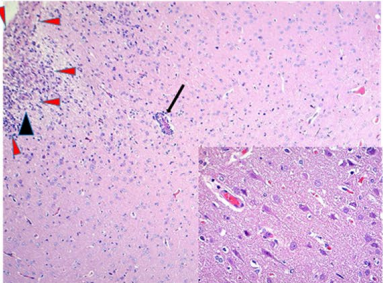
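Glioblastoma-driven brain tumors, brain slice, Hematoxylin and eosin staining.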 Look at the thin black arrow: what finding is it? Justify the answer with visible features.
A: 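Perivascular cuffing. The arrow points to a small vessel surrounded by a collar of cells. The surrounding brain tissue is sparsely cellular.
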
